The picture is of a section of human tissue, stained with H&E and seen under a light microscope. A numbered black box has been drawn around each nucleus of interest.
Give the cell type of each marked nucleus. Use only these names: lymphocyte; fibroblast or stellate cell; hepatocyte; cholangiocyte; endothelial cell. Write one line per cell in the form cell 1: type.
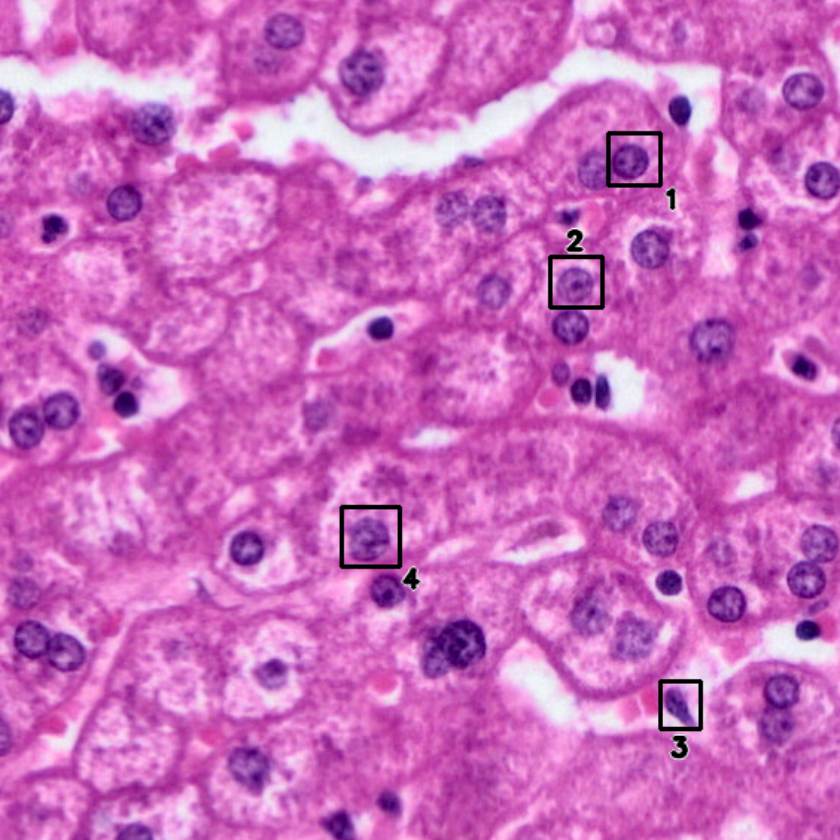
cell 1: hepatocyte
cell 2: hepatocyte
cell 3: lymphocyte
cell 4: hepatocyte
